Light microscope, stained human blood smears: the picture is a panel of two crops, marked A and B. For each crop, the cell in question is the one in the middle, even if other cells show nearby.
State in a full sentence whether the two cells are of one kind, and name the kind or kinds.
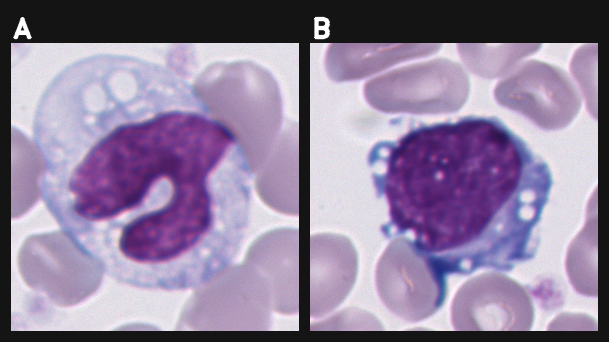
No, a monocyte occupies the middle of crop A, and a myeloblast the middle of crop B.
